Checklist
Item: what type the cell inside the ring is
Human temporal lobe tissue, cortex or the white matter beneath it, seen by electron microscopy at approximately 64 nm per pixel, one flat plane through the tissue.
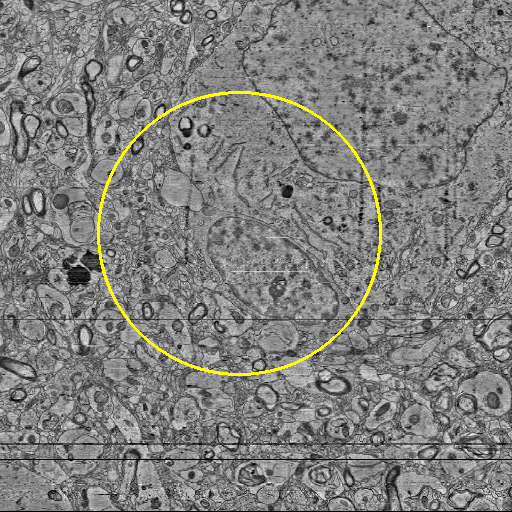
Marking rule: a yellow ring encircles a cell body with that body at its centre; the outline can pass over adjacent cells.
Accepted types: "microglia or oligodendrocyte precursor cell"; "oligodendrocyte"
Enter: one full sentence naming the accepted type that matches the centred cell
The entry is that an oligodendrocyte lies at the centre of the yellow ring.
